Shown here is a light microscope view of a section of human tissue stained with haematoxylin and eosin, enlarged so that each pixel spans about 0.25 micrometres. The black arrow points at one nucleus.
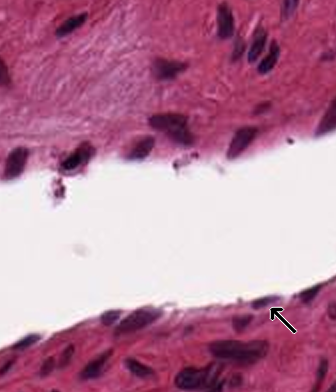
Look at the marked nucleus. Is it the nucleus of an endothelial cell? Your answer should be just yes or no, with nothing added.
yes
